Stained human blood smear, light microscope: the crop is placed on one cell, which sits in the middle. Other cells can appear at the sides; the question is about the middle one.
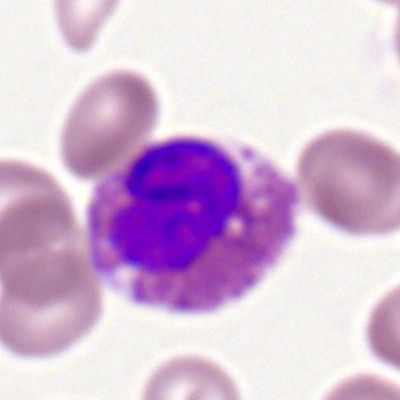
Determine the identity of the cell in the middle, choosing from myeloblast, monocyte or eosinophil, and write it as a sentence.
The cell positioned in the middle of the field is an eosinophil.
